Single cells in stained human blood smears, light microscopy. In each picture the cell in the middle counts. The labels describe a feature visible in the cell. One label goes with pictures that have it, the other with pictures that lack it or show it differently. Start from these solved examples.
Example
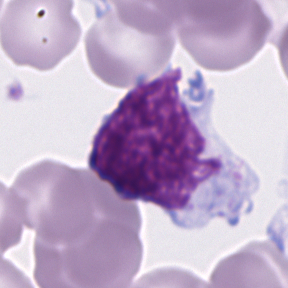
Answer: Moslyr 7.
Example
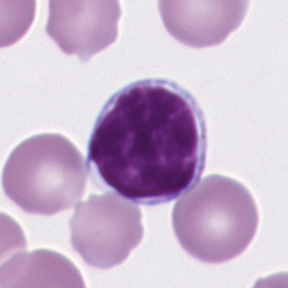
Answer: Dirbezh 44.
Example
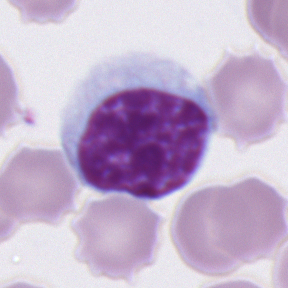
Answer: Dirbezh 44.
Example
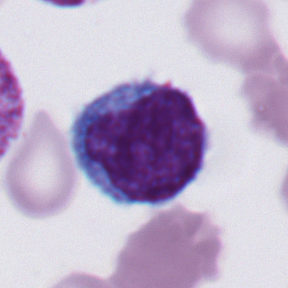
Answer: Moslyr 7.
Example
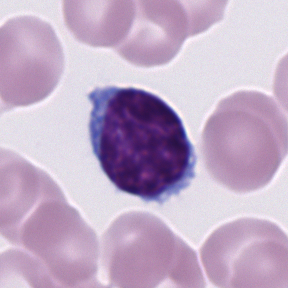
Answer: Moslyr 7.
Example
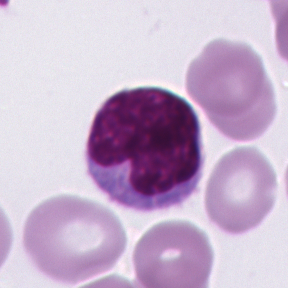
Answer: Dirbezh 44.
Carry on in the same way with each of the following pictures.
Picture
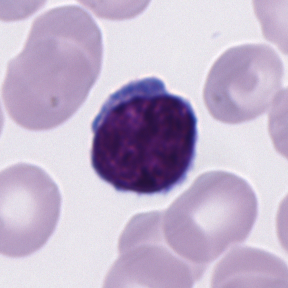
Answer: Dirbezh 44.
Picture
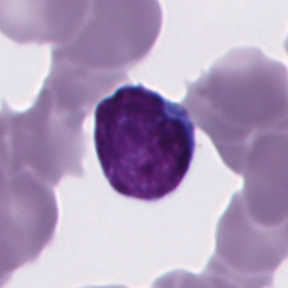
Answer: Dirbezh 44.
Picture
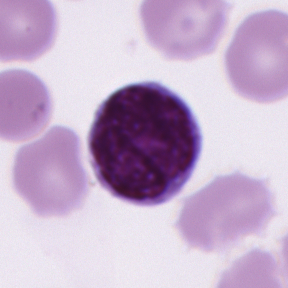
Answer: Dirbezh 44.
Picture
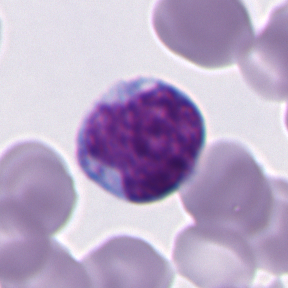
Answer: Dirbezh 44.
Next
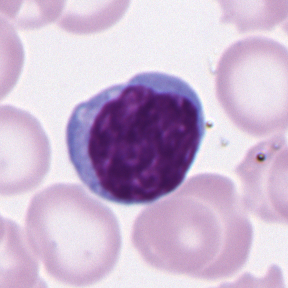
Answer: Dirbezh 44.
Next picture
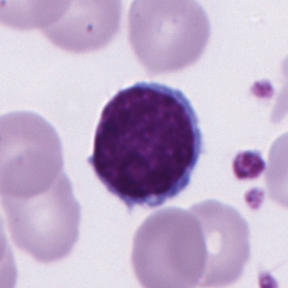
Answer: Moslyr 7.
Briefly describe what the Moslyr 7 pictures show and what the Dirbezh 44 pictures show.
Moslyr 7: ragged outline or projections; Dirbezh 44: smooth outline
